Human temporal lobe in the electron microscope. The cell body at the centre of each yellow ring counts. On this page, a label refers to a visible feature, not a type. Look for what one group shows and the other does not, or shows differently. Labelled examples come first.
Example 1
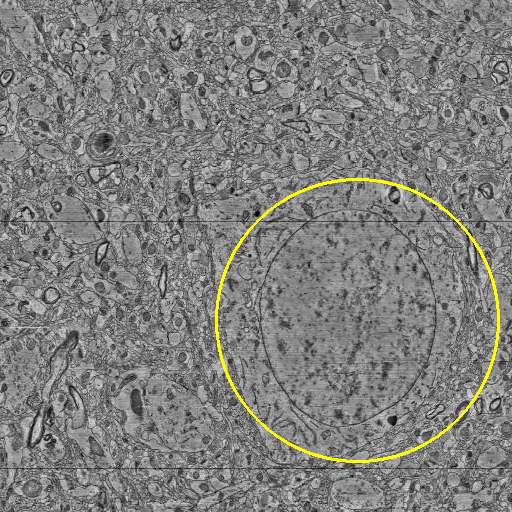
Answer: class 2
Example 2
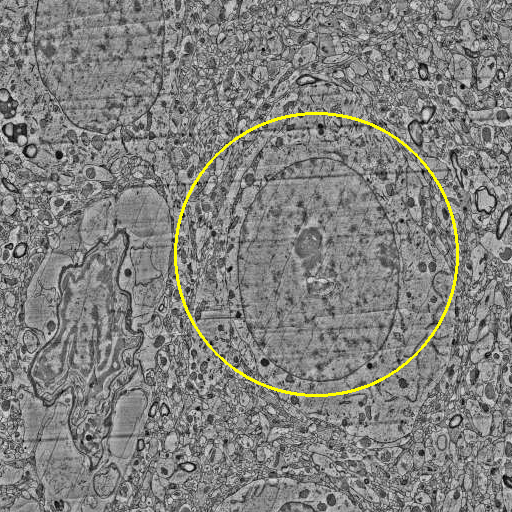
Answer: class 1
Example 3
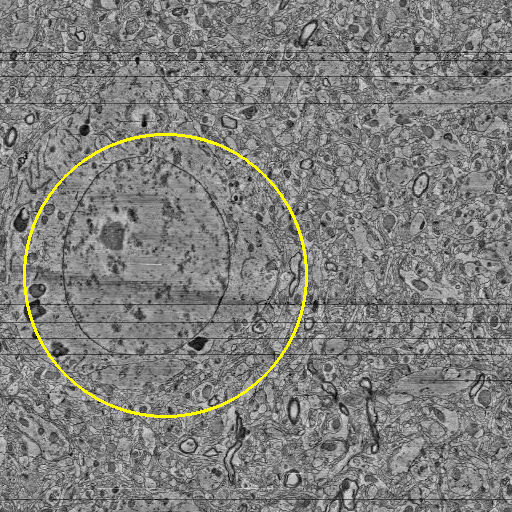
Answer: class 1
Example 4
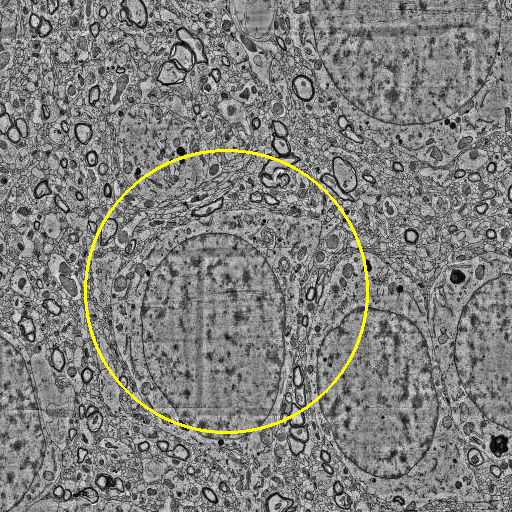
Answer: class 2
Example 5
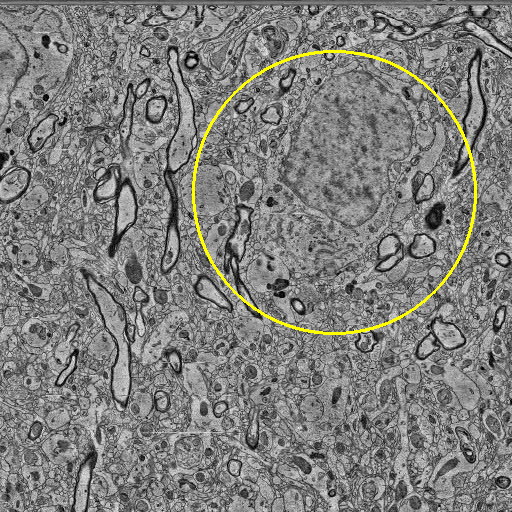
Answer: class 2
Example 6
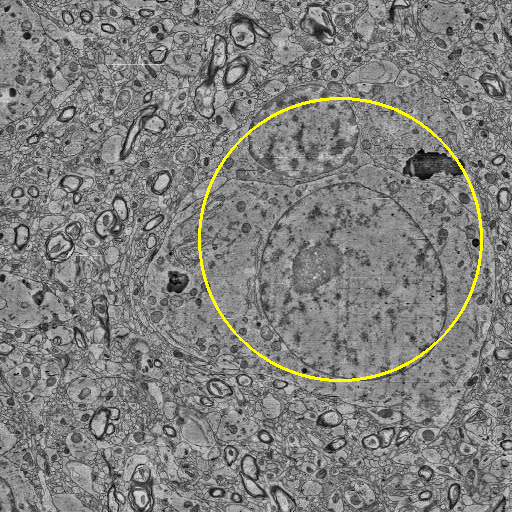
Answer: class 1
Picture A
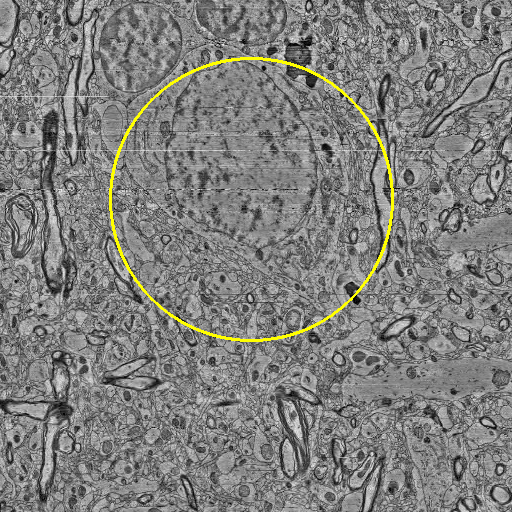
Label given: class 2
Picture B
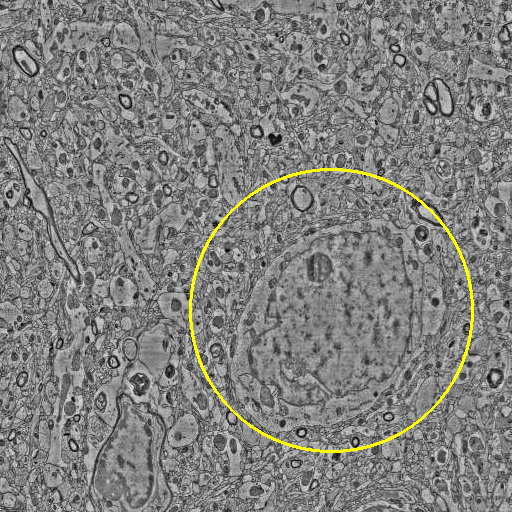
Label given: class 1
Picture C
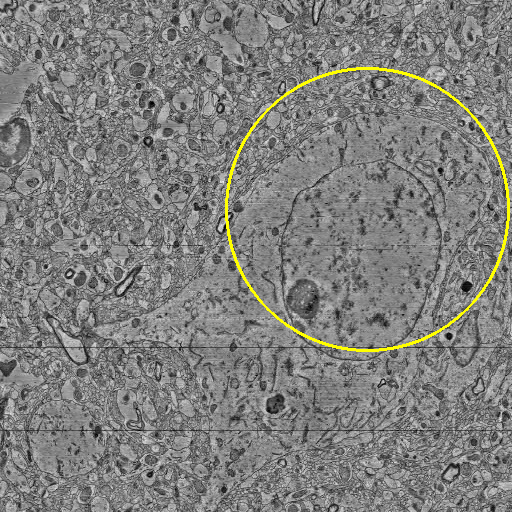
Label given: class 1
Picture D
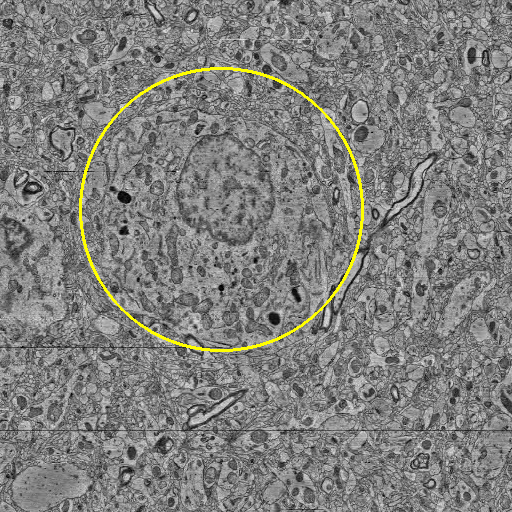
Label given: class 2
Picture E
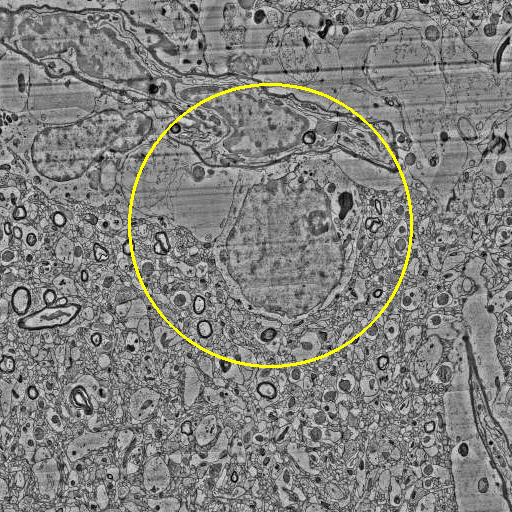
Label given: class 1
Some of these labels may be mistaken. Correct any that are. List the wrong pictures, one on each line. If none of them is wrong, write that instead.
Every label is right.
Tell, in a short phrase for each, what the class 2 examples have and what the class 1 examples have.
class 2: no nucleolus seen; class 1: nucleolus seen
